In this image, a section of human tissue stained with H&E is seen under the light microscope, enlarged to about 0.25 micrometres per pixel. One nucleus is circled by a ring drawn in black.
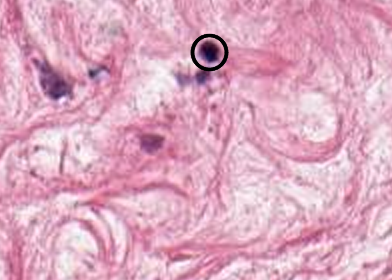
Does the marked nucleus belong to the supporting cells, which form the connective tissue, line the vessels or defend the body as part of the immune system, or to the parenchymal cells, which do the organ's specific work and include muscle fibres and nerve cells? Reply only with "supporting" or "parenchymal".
supporting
